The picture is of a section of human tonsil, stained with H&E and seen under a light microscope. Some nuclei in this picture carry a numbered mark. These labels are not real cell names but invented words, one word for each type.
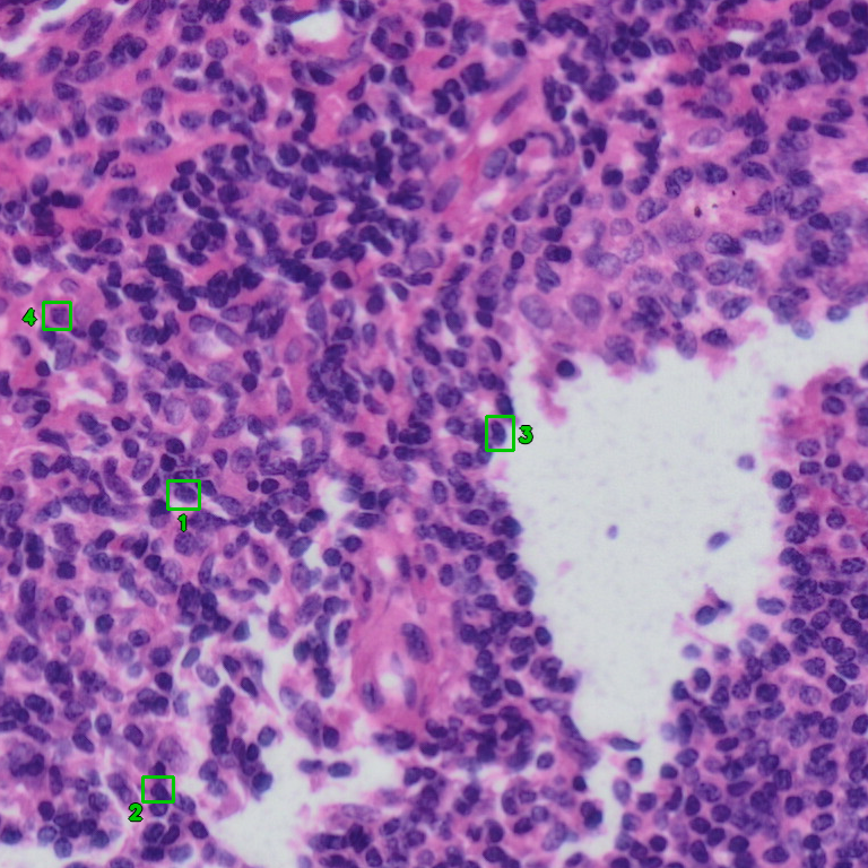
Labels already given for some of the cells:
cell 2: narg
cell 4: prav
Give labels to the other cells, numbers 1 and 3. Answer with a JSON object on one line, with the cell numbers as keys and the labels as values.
{"1": "narg", "3": "narg"}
